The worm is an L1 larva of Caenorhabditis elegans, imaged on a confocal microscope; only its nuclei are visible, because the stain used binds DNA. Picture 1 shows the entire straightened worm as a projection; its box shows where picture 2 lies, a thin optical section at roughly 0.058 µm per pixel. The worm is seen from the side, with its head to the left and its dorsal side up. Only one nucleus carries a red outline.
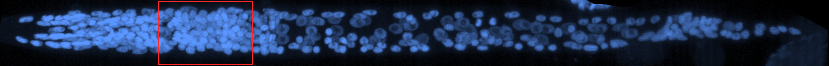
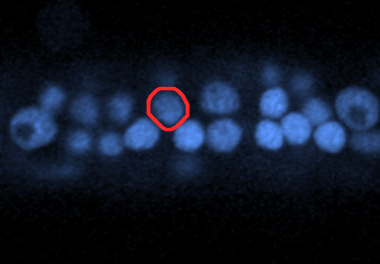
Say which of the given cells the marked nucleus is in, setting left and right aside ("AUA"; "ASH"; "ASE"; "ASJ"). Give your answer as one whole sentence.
The marked nucleus is that of ASH, a neuron.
